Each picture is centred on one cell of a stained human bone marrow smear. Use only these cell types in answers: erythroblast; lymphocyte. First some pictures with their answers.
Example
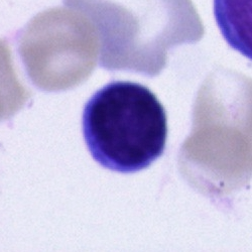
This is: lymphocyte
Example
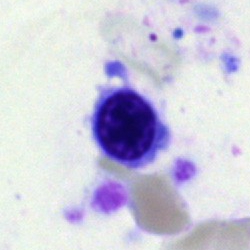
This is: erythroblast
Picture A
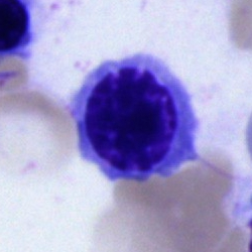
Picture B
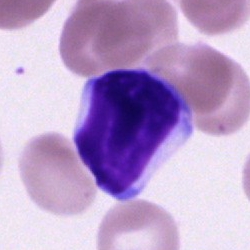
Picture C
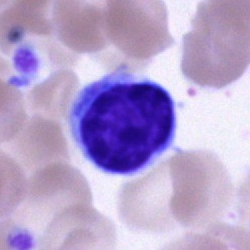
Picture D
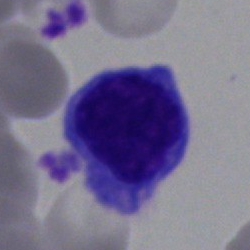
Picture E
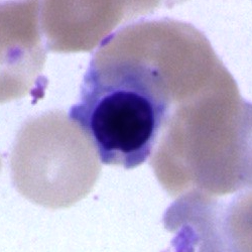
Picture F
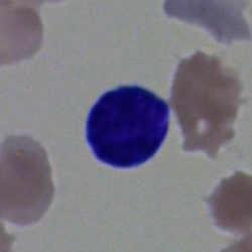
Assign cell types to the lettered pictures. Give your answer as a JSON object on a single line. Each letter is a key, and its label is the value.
{"A": "erythroblast", "B": "lymphocyte", "C": "lymphocyte", "D": "lymphocyte", "E": "erythroblast", "F": "lymphocyte"}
